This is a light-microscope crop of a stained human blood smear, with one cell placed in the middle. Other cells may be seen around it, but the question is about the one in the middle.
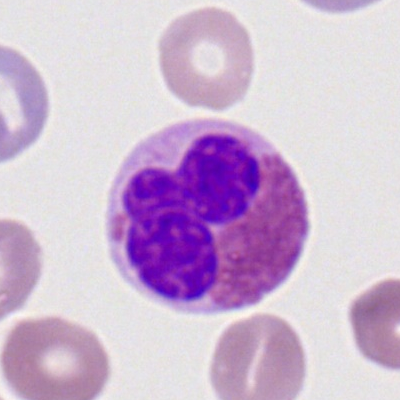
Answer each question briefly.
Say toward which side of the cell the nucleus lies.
left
